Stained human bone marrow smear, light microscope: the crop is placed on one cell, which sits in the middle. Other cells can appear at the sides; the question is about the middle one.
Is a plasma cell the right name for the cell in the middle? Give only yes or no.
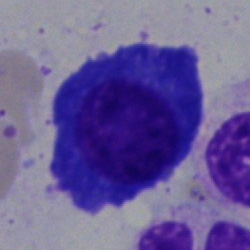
yes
